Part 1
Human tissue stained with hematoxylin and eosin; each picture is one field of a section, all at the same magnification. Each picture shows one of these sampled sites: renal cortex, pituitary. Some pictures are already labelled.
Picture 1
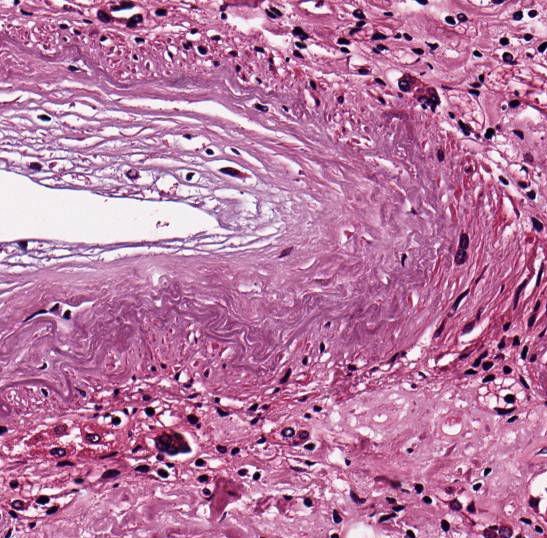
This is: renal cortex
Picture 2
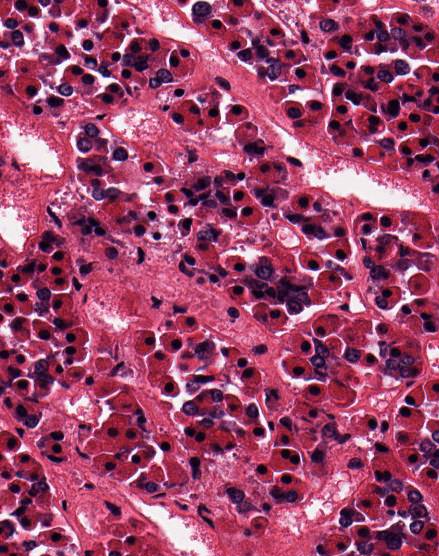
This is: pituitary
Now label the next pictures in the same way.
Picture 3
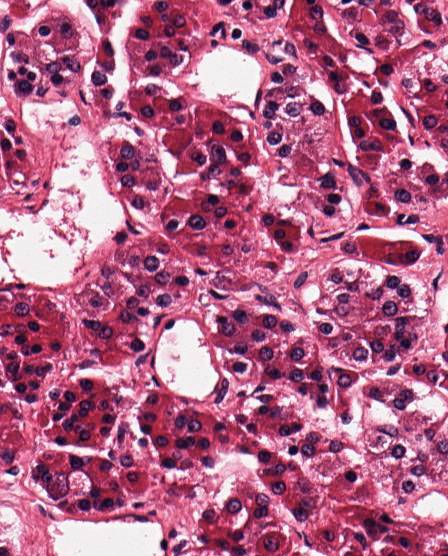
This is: pituitary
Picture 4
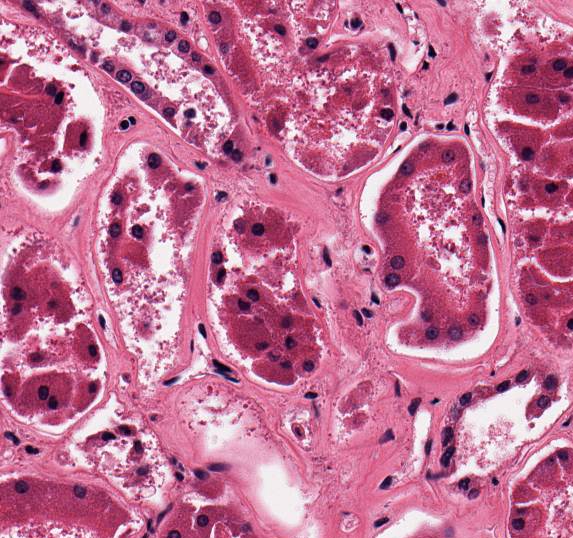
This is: renal cortex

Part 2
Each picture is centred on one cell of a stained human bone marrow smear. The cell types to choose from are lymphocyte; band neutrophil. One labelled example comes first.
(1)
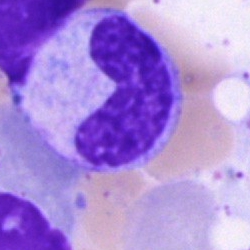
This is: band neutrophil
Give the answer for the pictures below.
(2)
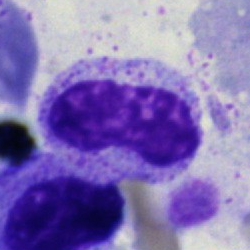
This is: band neutrophil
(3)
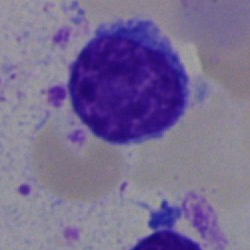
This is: lymphocyte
